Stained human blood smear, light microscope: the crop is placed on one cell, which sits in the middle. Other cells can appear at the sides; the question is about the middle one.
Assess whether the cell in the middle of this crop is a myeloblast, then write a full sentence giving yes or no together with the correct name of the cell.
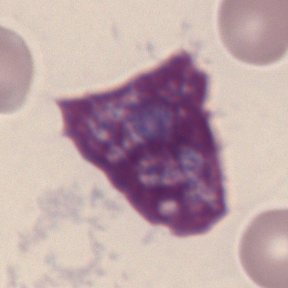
No, at the centre of this crop is found a smudge cell instead of a myeloblast.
